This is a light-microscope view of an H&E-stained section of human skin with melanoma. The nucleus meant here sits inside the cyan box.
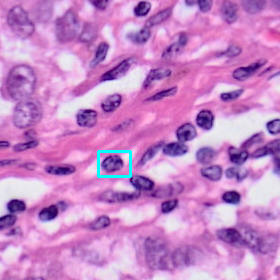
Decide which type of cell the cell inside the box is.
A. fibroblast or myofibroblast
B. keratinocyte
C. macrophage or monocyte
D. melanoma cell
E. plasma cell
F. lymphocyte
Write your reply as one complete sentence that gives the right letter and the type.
Option F is correct here; the cell inside the box is a lymphocyte.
